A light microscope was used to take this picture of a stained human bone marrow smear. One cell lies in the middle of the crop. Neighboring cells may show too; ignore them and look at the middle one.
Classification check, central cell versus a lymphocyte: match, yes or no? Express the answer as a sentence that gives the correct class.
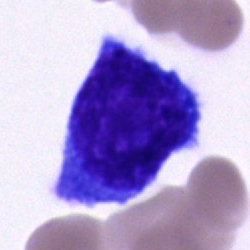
No, the cell placed at the center is a blast rather than a lymphocyte.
